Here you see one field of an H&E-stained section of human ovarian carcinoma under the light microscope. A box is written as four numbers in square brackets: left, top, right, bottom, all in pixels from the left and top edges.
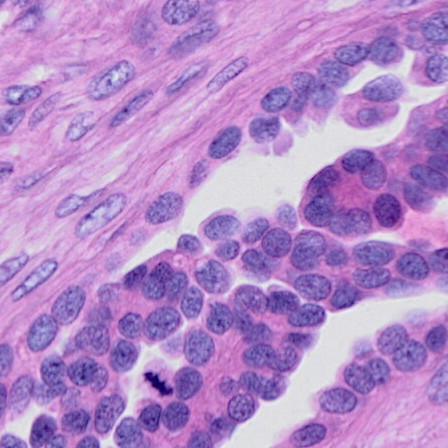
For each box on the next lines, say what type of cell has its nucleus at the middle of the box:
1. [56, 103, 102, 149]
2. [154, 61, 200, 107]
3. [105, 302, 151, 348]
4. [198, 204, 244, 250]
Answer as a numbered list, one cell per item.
1. fibroblast
2. fibroblast
3. carcinoma cell
4. carcinoma cell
